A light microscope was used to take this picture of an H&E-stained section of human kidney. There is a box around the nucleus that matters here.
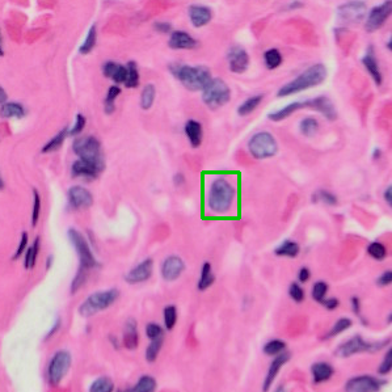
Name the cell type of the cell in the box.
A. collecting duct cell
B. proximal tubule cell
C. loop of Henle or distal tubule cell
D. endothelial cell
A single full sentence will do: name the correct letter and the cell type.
Of all the options, D is right, since the cell in the box is an endothelial cell.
